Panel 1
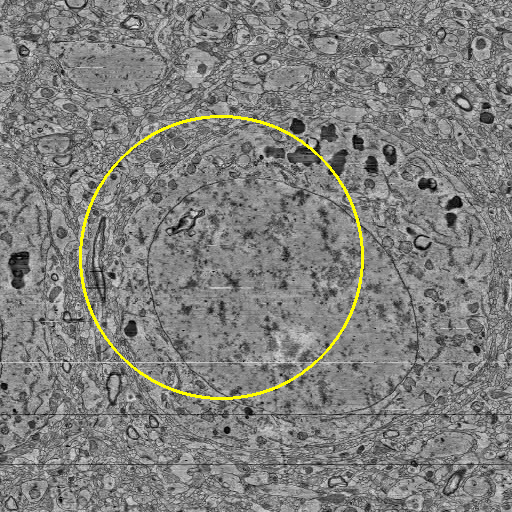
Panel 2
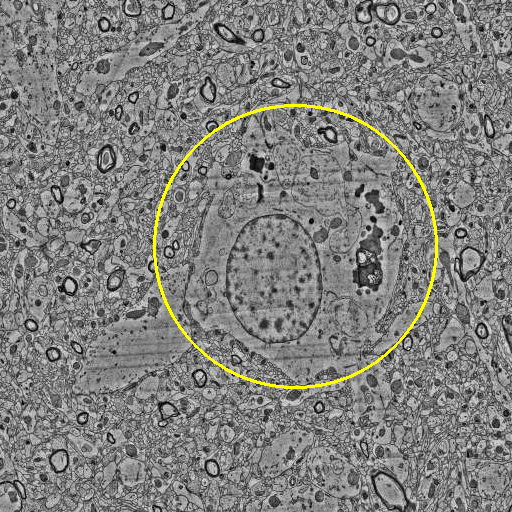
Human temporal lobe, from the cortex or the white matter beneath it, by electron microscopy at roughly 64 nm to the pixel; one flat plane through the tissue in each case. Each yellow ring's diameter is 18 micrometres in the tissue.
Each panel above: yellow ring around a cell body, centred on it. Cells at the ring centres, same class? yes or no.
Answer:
no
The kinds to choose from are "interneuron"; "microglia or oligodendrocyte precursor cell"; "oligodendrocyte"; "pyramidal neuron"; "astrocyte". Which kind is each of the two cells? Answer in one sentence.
Of the two, the first cell is a pyramidal neuron and the second cell is an astrocyte.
